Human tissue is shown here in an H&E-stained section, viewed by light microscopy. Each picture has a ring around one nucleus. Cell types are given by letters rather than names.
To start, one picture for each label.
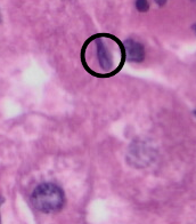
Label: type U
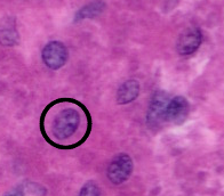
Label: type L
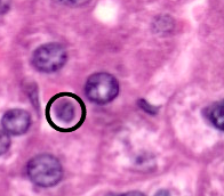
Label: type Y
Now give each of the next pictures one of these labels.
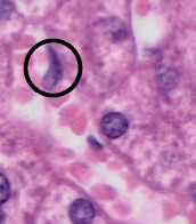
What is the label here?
type Y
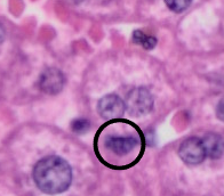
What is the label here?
type U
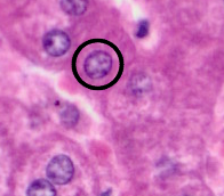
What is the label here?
type L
